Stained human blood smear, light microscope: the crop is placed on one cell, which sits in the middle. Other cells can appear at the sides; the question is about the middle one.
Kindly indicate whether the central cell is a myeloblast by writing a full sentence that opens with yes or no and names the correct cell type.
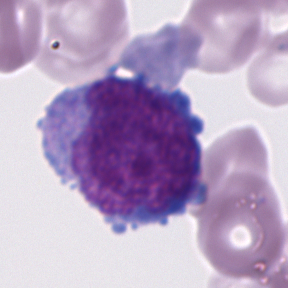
Yes, the identification of the central cell as a myeloblast is correct.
